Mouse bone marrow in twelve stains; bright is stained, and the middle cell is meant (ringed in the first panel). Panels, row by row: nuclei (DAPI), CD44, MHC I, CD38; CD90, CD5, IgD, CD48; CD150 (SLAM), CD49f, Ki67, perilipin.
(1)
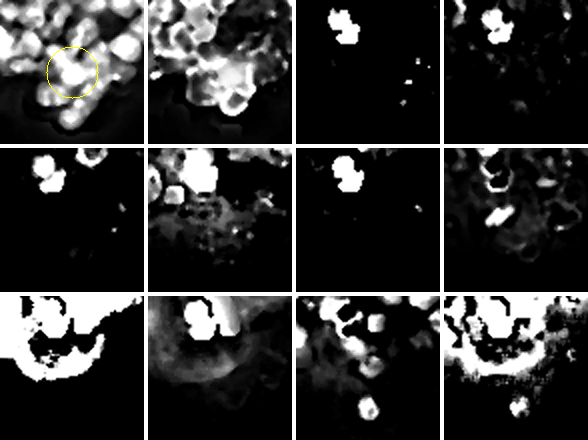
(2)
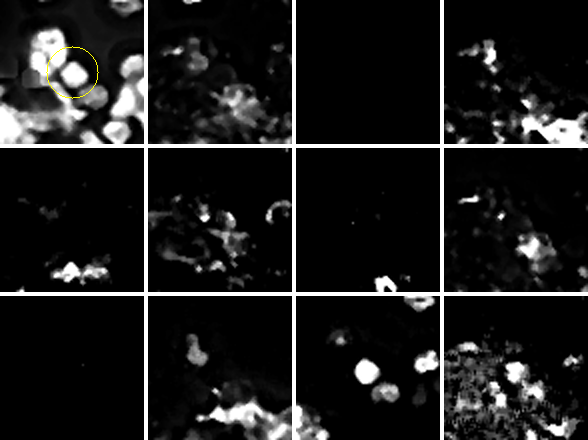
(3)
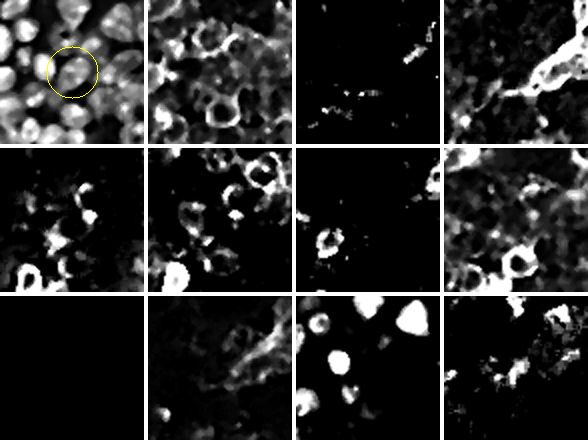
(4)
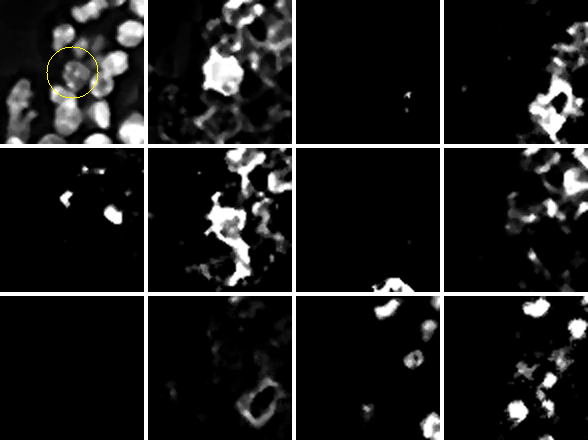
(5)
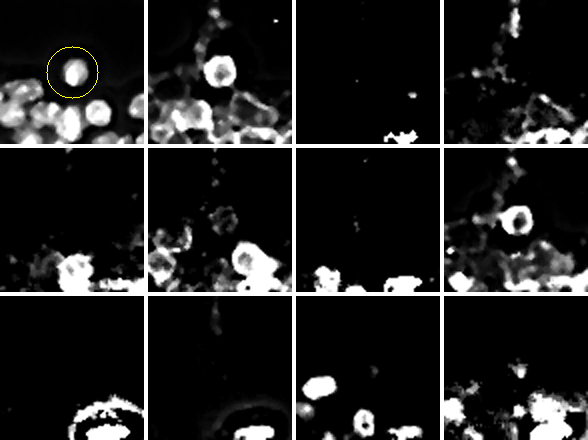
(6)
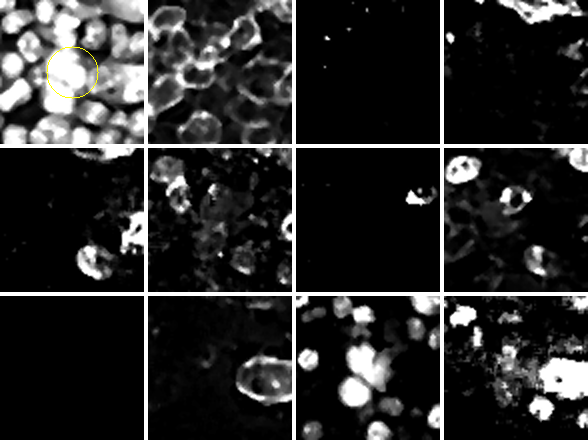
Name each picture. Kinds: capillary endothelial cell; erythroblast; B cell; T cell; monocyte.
1. T cell
2. B cell
3. capillary endothelial cell
4. monocyte
5. monocyte
6. erythroblast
